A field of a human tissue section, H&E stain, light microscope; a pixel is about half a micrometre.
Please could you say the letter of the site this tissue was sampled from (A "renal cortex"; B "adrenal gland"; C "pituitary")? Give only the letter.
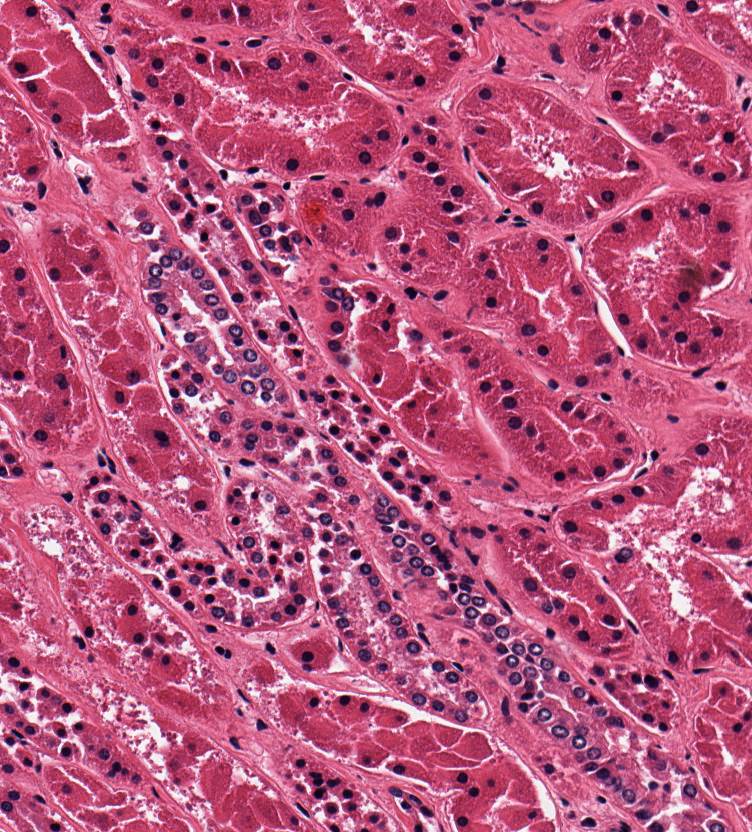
A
